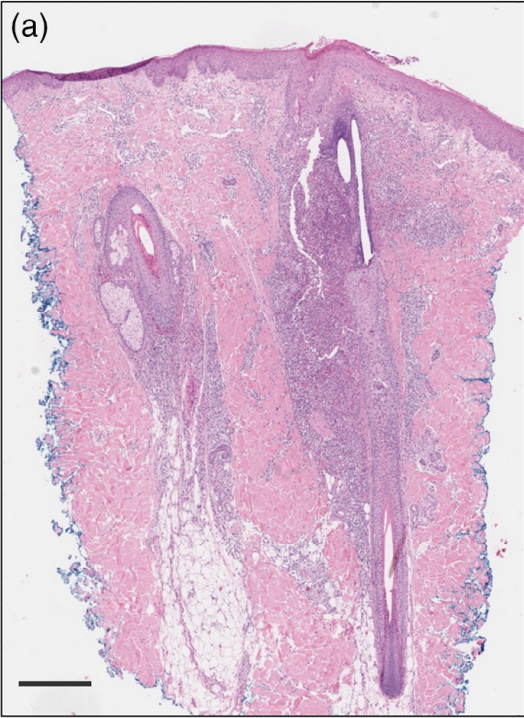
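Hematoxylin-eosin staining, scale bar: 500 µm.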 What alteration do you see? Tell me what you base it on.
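Perifolliculitis. A long hair follicle runs down through the dermis. A dense purple cellular infiltrate surrounds and crowds the hair follicle. The infiltrate extends from the follicle into the surrounding dermis.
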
